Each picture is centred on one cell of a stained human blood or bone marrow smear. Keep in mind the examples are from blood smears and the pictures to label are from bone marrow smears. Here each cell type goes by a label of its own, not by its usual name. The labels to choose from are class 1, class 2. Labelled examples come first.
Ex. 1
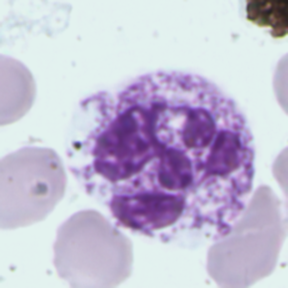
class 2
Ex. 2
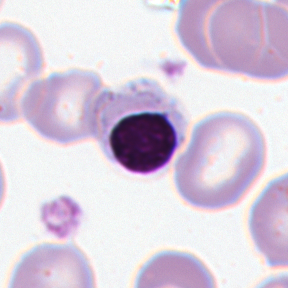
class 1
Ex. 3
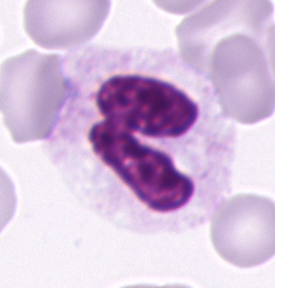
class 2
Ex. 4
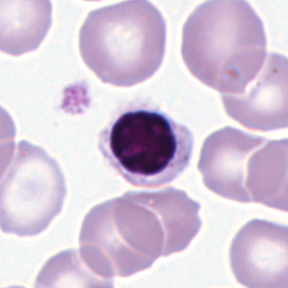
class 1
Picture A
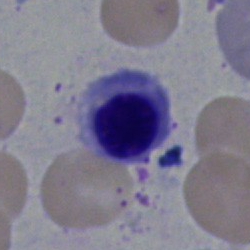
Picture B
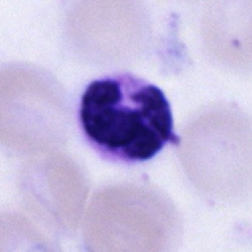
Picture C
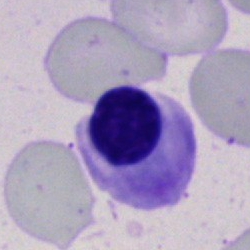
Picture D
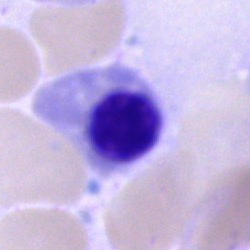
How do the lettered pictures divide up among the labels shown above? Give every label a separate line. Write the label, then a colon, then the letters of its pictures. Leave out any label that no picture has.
class 1: A, C, D
class 2: B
